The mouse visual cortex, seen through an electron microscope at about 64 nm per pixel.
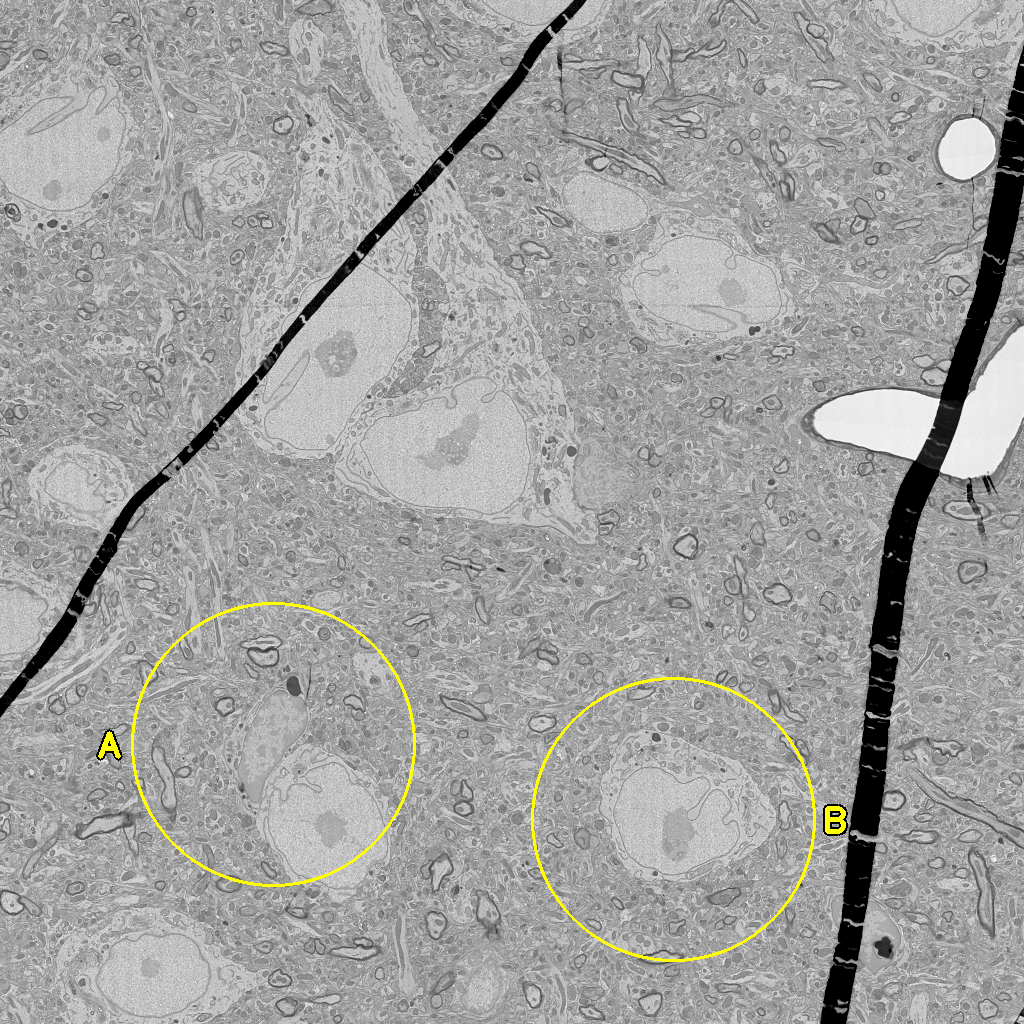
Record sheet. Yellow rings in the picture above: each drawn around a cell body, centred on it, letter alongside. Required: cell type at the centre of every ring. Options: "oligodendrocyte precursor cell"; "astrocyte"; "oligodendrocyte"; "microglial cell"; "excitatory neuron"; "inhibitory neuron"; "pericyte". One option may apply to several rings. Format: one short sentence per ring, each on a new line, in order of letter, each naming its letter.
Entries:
Ring A contains a microglial cell at the centre.
Ring B contains an excitatory neuron at the centre.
